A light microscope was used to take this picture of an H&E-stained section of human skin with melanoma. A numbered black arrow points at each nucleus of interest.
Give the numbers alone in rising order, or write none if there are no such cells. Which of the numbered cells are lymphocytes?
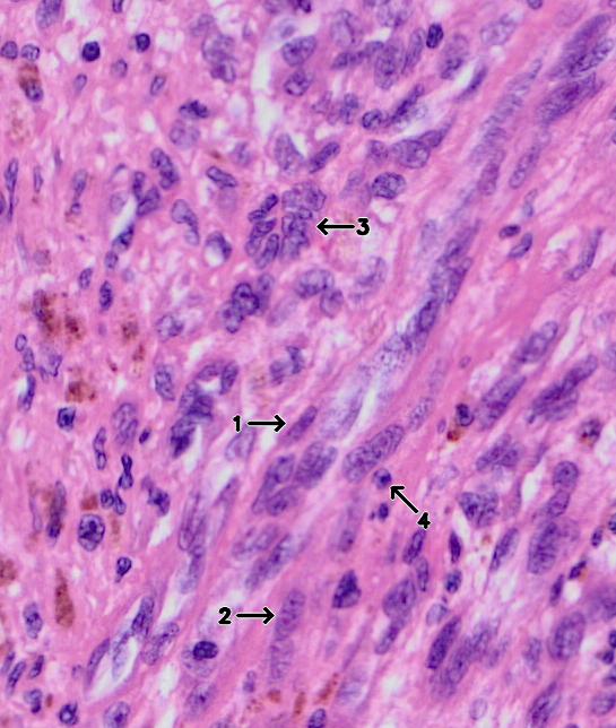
4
